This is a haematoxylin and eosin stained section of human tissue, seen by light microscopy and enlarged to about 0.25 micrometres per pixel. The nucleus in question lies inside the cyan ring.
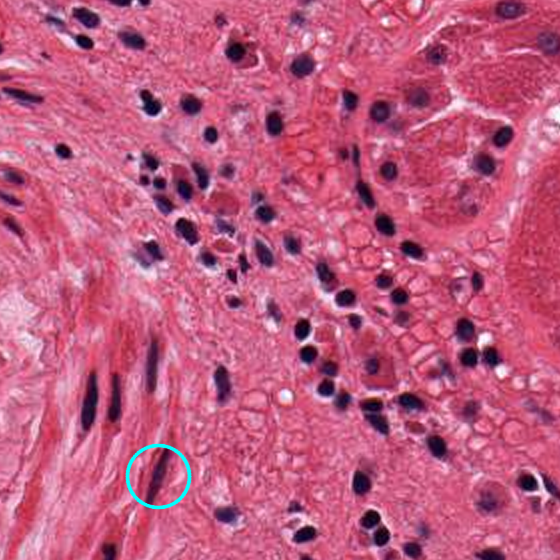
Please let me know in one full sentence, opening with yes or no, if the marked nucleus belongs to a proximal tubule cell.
No, in this image, the nucleus with the marker is not from a proximal tubule cell.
